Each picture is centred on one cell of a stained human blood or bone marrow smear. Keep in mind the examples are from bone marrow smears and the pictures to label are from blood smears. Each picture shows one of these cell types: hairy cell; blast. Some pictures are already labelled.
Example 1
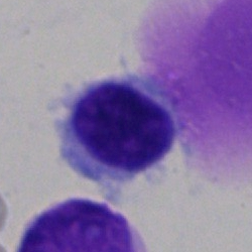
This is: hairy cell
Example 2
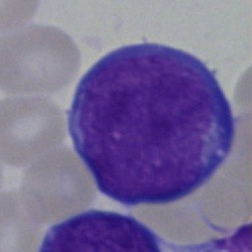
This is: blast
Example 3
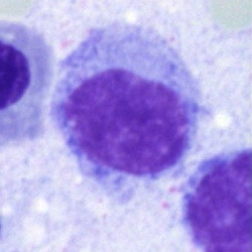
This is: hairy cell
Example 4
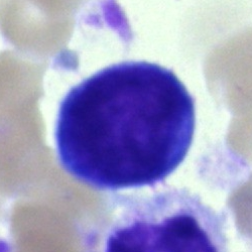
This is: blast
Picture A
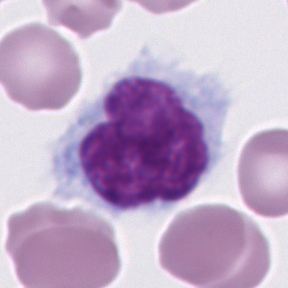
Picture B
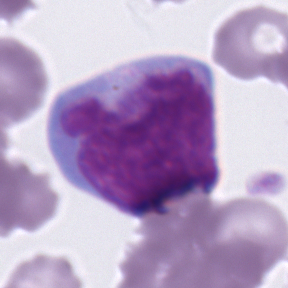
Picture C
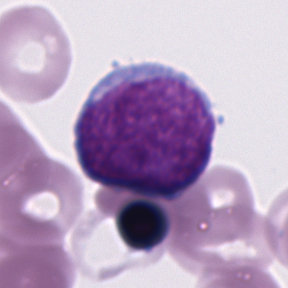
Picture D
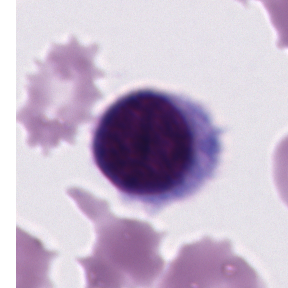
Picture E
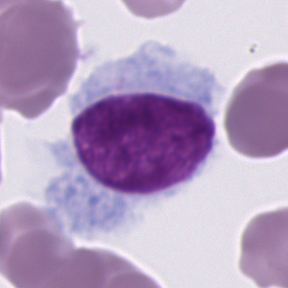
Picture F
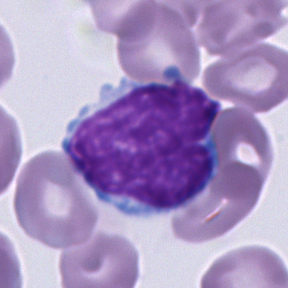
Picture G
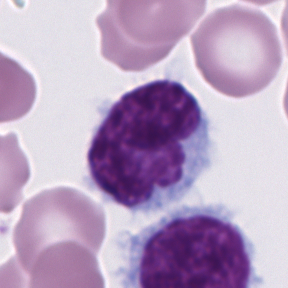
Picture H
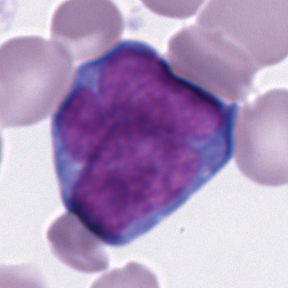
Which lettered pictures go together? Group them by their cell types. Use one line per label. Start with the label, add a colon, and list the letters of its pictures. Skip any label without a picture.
hairy cell: A, D, E, G
blast: B, C, F, H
